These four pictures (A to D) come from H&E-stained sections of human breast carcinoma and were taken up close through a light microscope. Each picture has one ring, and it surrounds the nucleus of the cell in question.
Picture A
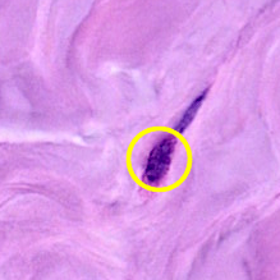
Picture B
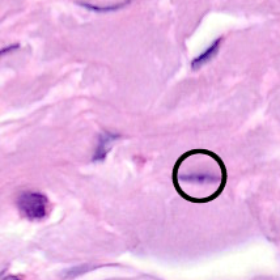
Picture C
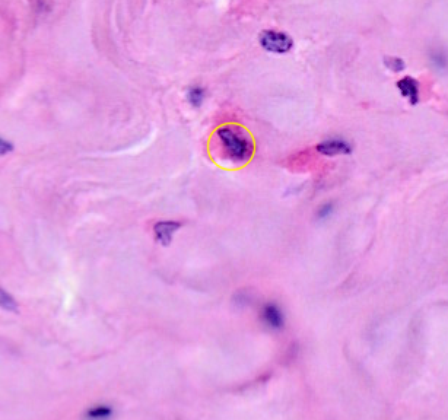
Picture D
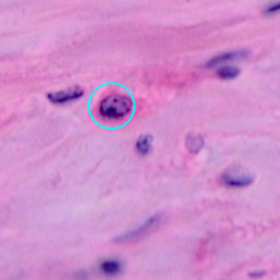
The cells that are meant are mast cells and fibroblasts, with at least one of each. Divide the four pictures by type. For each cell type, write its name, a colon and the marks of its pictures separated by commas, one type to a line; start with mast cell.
mast cell: A, C, D
fibroblast: B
